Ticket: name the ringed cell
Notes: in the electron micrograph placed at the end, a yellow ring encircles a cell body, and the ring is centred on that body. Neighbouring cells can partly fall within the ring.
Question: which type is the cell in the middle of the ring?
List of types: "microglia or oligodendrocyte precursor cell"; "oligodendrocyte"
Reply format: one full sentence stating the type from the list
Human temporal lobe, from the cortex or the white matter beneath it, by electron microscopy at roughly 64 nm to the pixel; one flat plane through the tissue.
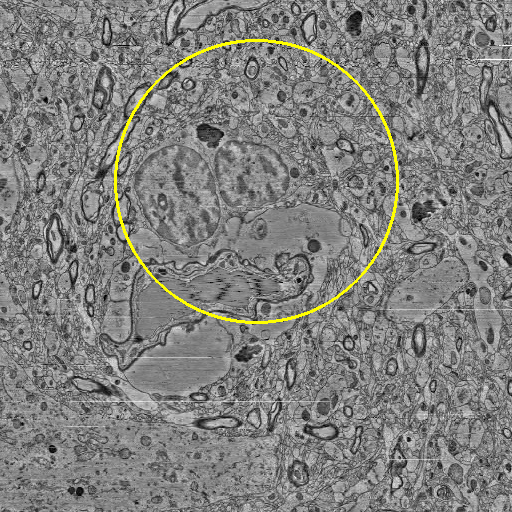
The cell sitting at the centre of the yellow ring is an oligodendrocyte.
